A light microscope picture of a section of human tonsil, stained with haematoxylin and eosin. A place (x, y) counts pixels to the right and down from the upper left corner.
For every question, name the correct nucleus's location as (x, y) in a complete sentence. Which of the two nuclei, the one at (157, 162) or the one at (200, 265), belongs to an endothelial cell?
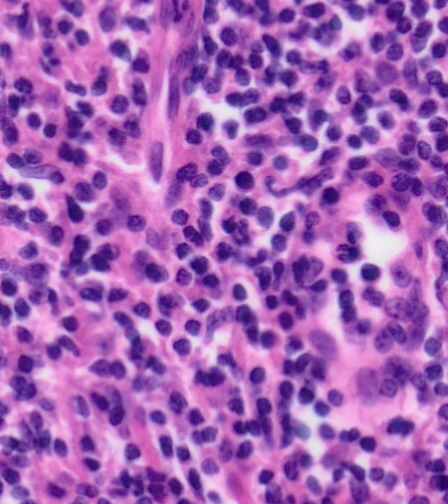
At (157, 162) lies the nucleus that belongs to an endothelial cell.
